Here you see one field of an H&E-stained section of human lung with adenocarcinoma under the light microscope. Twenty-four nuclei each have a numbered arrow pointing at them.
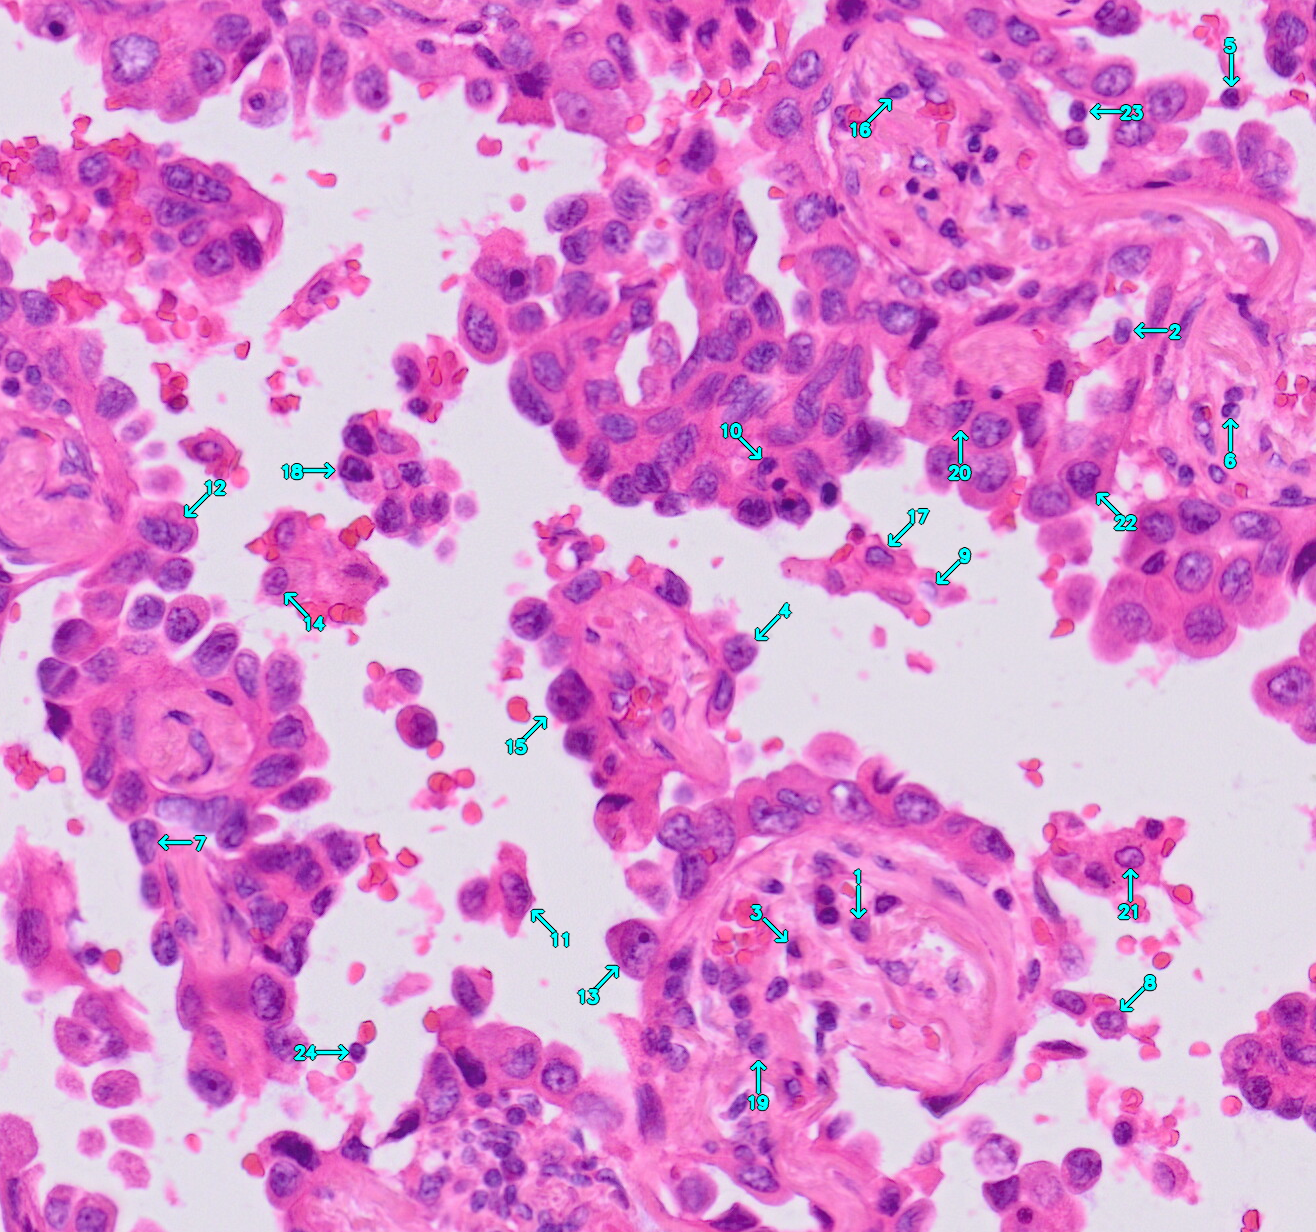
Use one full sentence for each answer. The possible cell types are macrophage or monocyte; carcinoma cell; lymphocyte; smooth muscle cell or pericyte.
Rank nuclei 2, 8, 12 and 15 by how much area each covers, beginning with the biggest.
Largest first, the order by area is 15, 12, 8, 2.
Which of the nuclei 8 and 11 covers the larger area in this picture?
The larger nucleus is 11, at roughly 2 times the area of 8.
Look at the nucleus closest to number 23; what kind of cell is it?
The nucleus nearest to number 23 is that of a macrophage or monocyte.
